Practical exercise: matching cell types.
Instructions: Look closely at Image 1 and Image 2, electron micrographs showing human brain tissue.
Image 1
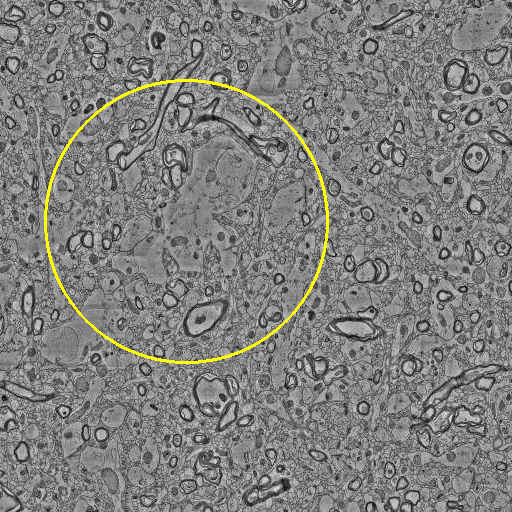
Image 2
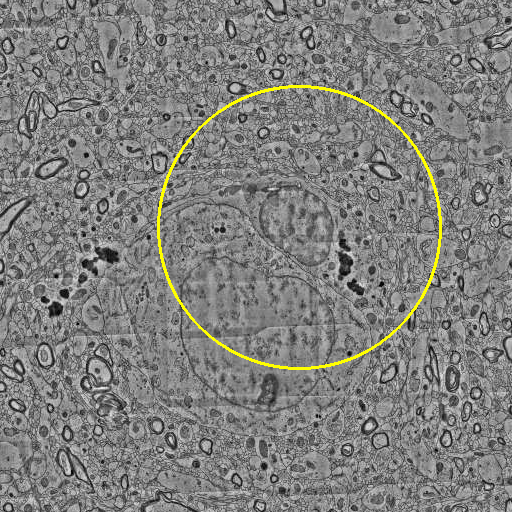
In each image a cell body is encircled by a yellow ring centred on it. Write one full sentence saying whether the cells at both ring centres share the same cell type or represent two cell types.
Across Image 1 and Image 2, the cells at the ring centres represent two cell types.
